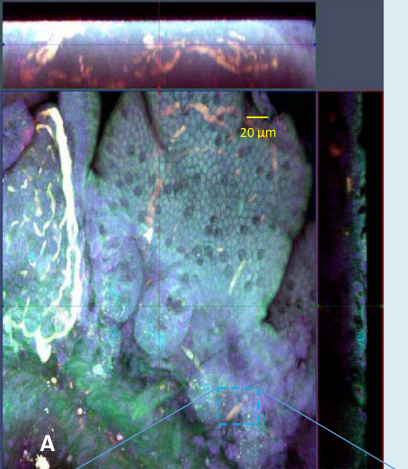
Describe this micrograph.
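Several broad, rounded intestinal villi crowd the field, seen from above as lobed projections of mucosa. Their surface is a tightly packed cobblestone of small round epithelial cells, each with a darker centre, giving a honeycomb texture in bluish-green. Thin orange and pale winding streaks run through and between the villi, and narrow strips along the top and right edge show the same tissue in side view through the depth of the stack.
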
